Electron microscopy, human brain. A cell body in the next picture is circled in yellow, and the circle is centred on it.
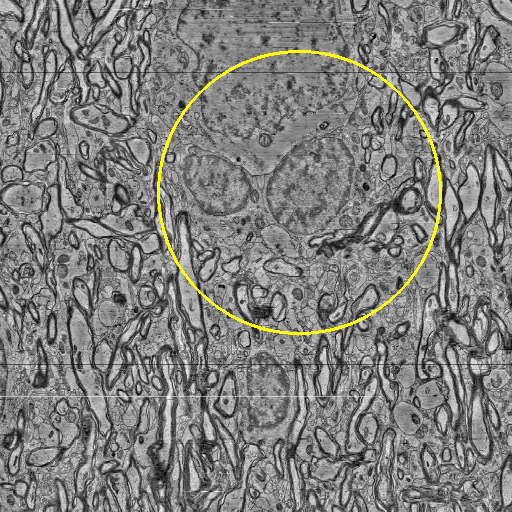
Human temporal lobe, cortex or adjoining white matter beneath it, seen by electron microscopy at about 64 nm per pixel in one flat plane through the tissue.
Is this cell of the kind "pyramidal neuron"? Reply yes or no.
no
